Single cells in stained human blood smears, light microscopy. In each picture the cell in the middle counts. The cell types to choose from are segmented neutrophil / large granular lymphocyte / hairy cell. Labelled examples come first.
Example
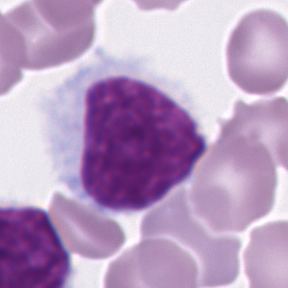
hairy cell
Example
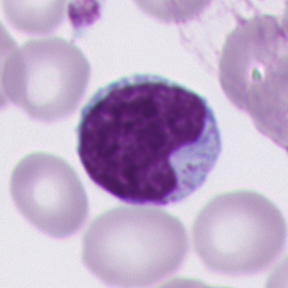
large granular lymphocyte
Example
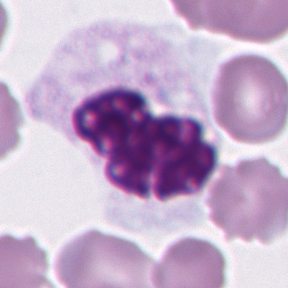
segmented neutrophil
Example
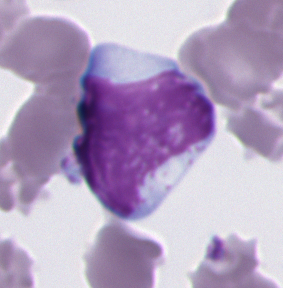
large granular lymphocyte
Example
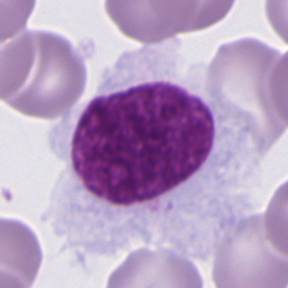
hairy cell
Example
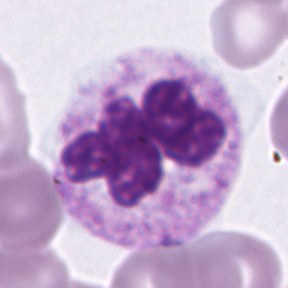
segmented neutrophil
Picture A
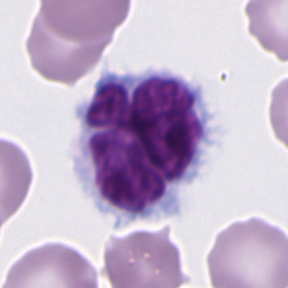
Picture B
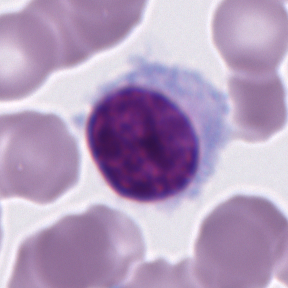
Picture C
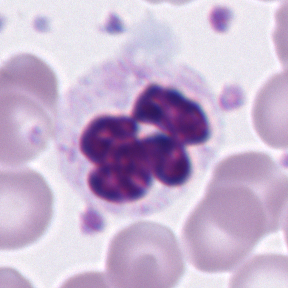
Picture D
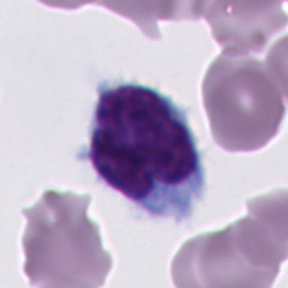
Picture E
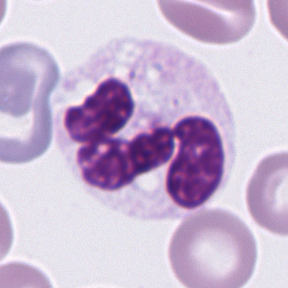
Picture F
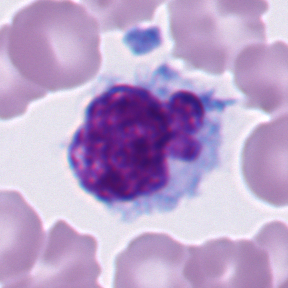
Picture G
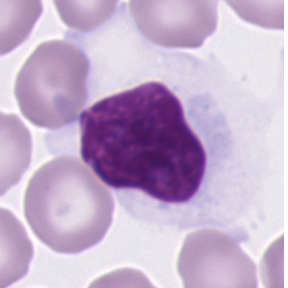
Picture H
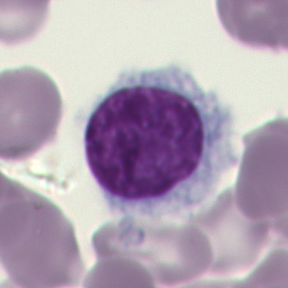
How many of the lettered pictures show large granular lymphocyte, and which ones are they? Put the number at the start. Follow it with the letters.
0, none of them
